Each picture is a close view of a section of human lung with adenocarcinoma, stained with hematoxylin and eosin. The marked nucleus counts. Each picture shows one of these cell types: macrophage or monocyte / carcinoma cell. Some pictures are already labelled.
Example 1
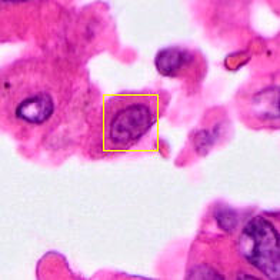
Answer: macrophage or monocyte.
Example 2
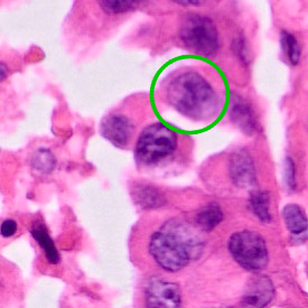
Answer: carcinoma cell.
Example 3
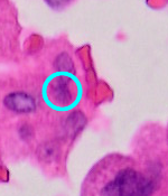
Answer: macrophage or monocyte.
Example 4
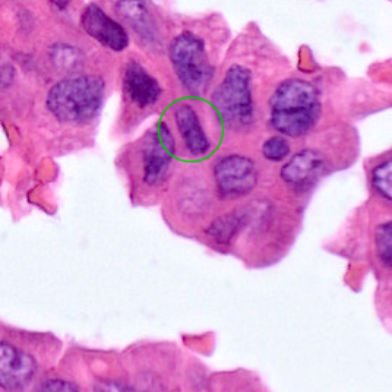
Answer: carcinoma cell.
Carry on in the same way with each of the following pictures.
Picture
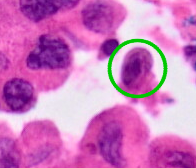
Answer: carcinoma cell.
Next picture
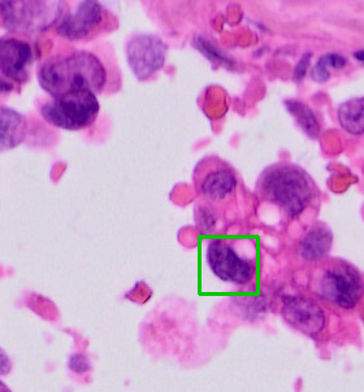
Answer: carcinoma cell.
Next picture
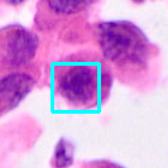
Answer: carcinoma cell.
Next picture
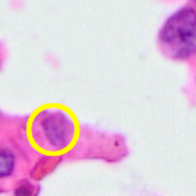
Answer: macrophage or monocyte.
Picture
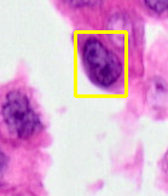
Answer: carcinoma cell.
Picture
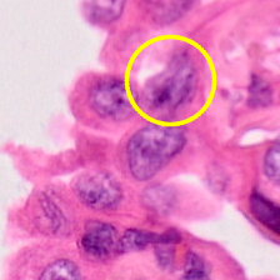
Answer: carcinoma cell.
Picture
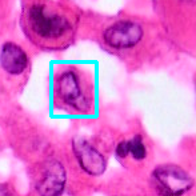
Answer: macrophage or monocyte.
